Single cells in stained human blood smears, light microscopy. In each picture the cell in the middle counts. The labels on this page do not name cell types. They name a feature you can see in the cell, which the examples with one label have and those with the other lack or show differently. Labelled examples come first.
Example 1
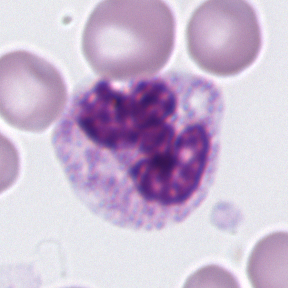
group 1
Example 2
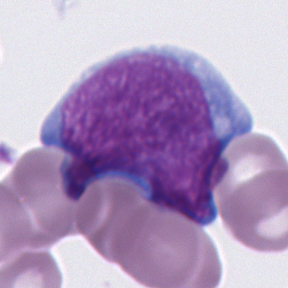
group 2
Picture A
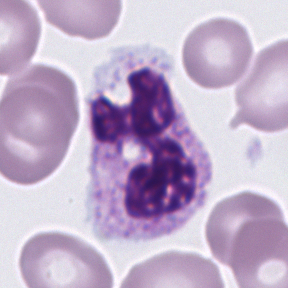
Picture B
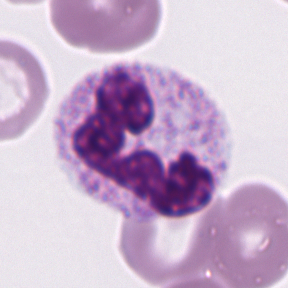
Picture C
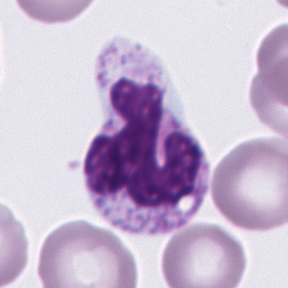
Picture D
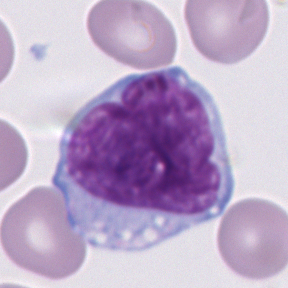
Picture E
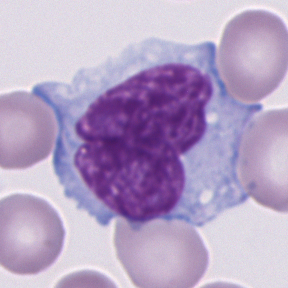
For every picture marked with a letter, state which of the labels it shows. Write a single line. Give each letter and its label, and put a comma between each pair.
A group 1, B group 2, C group 1, D group 1, E group 1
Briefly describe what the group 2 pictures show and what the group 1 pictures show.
group 2, no vacuoles; group 1, vacuoles present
